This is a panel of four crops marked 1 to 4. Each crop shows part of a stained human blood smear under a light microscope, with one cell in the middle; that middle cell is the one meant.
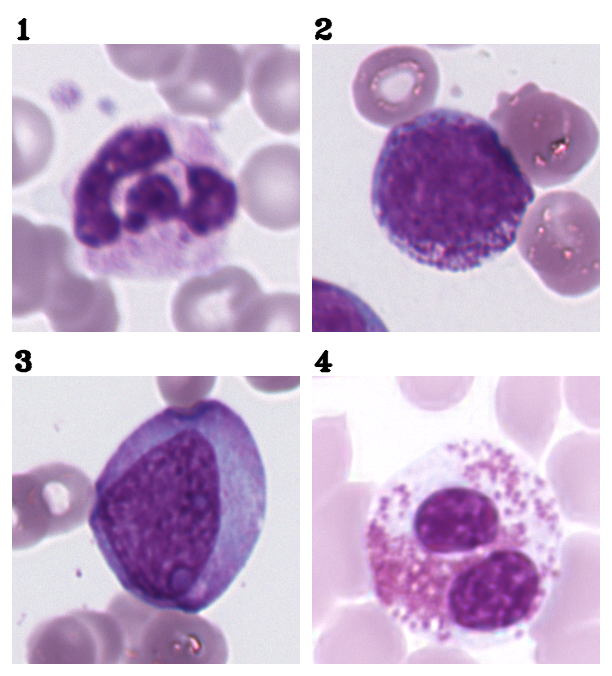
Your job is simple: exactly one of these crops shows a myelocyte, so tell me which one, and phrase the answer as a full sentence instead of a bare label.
Of the crops shown, crop 2 depicts a myelocyte.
